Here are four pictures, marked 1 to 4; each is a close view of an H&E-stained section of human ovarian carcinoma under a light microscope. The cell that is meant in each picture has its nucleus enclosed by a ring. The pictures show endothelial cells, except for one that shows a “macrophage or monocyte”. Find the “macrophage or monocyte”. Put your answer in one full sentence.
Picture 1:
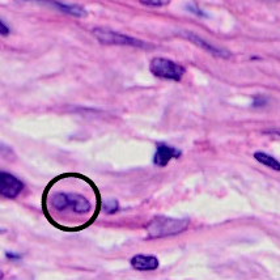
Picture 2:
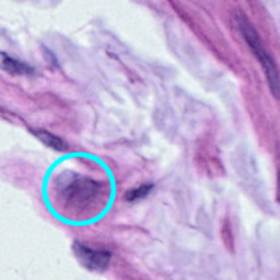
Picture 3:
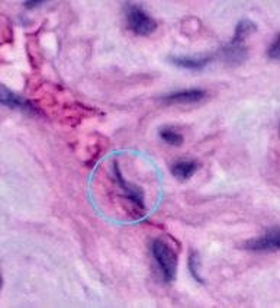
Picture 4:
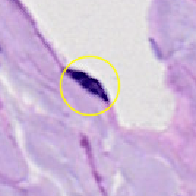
The “macrophage or monocyte” is the one in picture 1.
